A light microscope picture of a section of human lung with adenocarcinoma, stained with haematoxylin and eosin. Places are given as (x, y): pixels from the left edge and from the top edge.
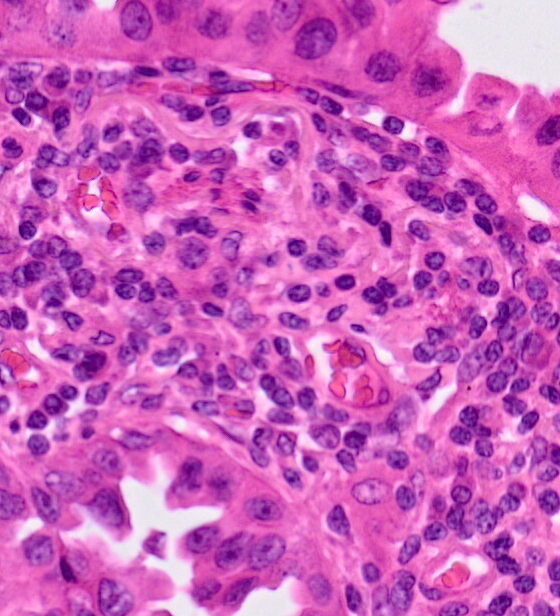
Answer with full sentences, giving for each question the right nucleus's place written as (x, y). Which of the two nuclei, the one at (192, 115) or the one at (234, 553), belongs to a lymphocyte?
That would be the nucleus at (192, 115); it belongs to a lymphocyte.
